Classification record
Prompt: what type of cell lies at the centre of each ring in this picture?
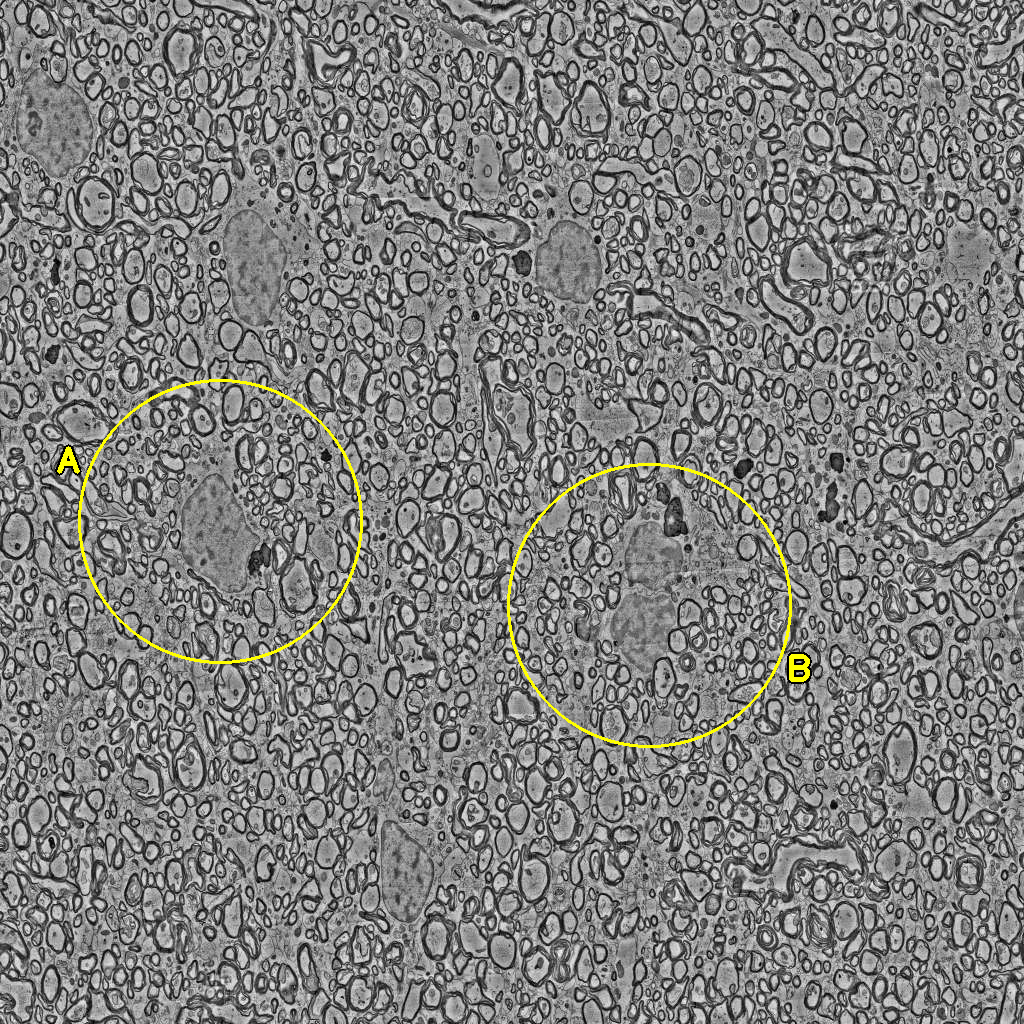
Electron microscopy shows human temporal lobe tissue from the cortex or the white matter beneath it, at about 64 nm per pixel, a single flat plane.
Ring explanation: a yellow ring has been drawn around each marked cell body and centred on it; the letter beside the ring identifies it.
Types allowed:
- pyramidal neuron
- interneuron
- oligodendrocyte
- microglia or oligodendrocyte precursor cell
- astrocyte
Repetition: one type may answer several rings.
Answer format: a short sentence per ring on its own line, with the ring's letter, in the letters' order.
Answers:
Ring A shows an oligodendrocyte at its centre.
Ring B shows an oligodendrocyte at its centre.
